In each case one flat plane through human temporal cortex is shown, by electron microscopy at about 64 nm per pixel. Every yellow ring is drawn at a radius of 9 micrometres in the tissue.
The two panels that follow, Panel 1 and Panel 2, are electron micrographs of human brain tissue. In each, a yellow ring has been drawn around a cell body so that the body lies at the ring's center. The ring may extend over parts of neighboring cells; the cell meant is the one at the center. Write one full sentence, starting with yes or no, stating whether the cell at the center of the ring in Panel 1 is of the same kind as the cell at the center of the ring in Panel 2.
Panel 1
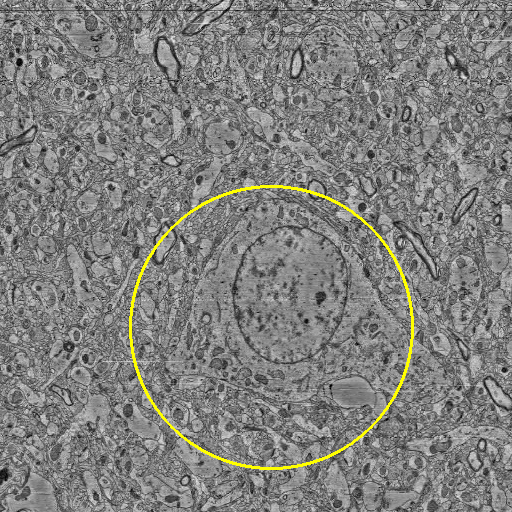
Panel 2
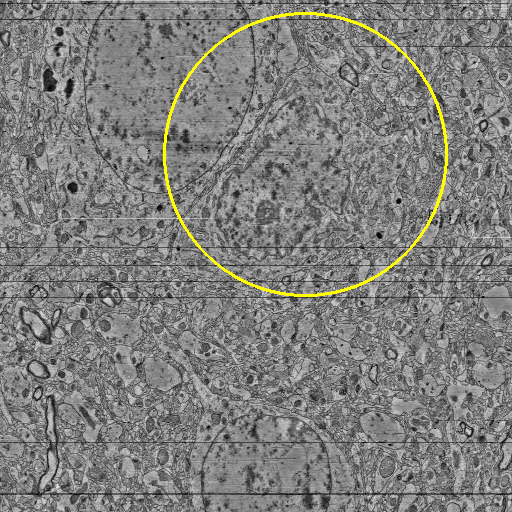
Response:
No, the cells in the two panels are of two kinds.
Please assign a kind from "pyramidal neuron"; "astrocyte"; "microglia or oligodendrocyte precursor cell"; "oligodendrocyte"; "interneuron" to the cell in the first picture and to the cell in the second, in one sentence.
In the first picture we have a pyramidal neuron, and in the second, an interneuron.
